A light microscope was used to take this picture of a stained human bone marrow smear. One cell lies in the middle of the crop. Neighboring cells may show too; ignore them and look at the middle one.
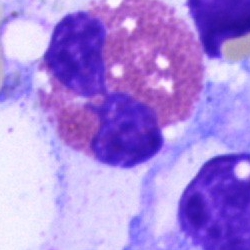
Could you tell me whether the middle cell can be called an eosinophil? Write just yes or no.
yes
